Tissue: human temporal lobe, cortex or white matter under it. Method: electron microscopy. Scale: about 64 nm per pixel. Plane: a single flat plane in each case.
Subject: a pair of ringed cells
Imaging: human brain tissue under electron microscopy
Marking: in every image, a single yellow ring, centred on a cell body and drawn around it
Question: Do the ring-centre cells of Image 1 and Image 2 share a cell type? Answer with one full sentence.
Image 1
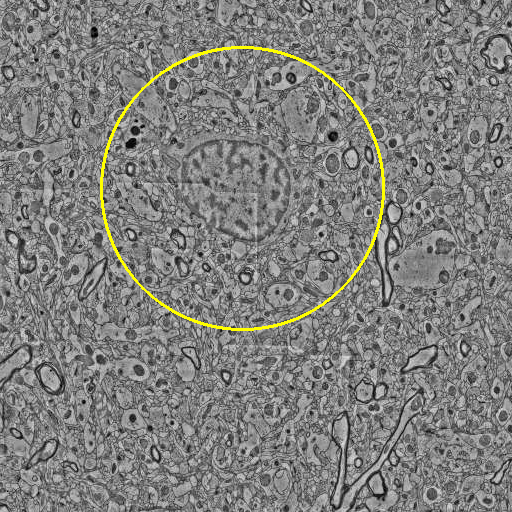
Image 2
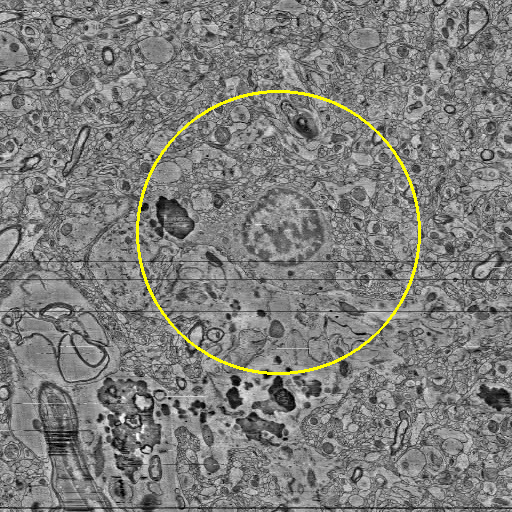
No, at the ring centres in the images sit cells of two separate types.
